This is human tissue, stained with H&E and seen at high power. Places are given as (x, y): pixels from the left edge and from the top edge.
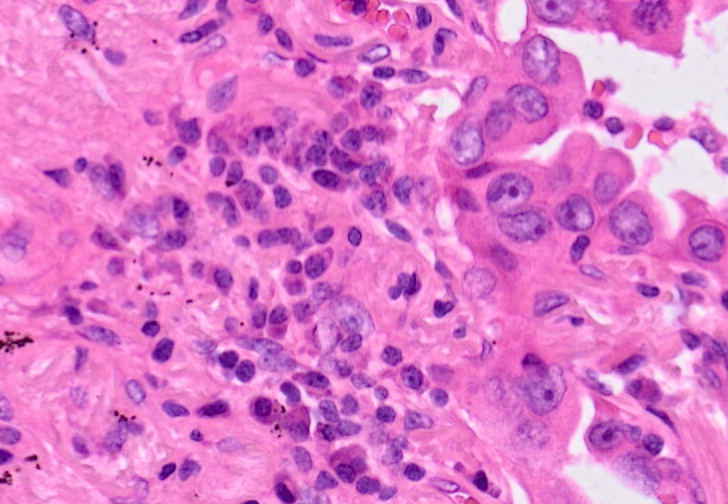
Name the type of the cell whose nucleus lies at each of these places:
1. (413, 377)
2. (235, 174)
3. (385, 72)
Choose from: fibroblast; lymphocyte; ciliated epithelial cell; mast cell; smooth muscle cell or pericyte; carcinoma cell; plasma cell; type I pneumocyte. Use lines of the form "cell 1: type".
cell 1: plasma cell
cell 2: lymphocyte
cell 3: lymphocyte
